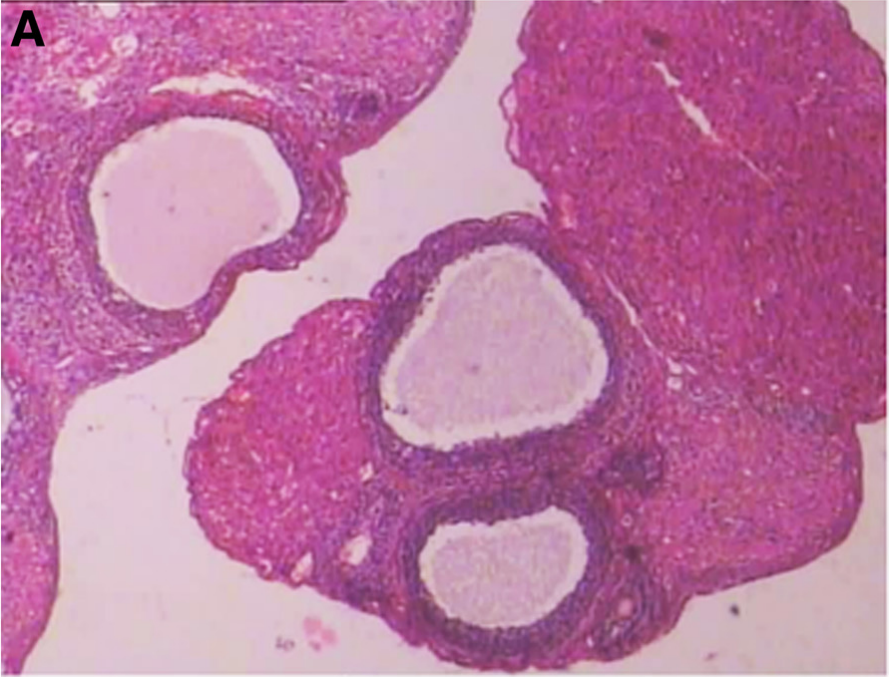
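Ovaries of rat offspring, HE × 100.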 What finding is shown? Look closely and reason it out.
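Several large follicles have wide, pale, fluid-filled cavities. The rims of the large follicles are compact and darker than the surrounding stroma.
Decreased granular cells.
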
